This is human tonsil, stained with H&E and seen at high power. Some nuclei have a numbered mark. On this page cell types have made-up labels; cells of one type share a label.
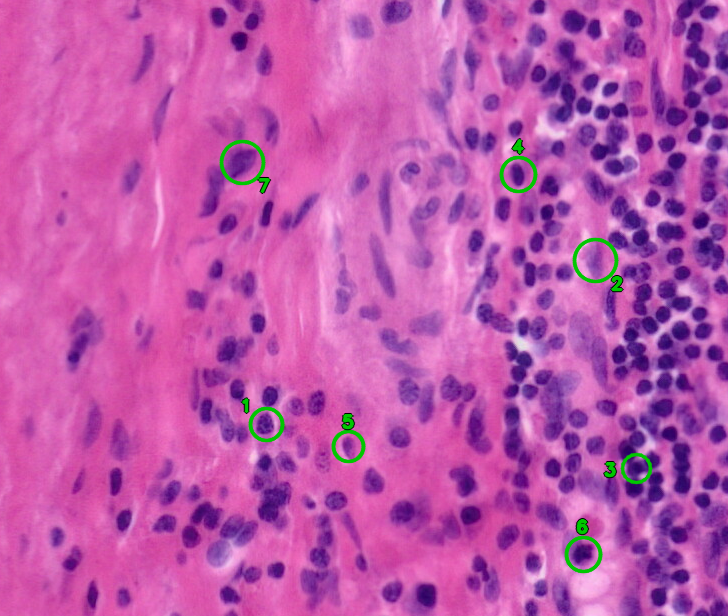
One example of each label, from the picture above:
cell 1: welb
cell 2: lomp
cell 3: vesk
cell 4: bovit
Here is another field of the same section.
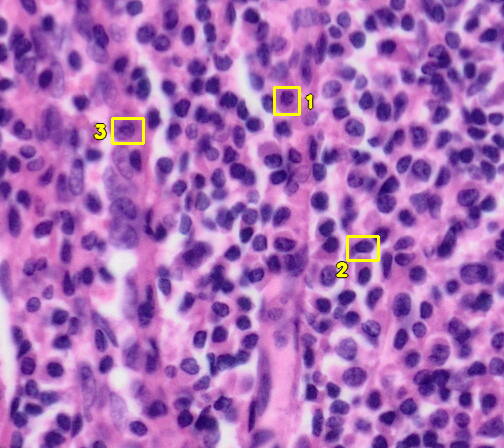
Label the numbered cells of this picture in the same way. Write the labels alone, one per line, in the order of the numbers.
welb
welb
lomp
